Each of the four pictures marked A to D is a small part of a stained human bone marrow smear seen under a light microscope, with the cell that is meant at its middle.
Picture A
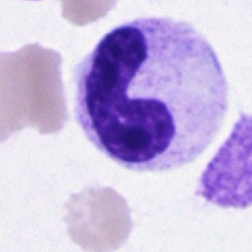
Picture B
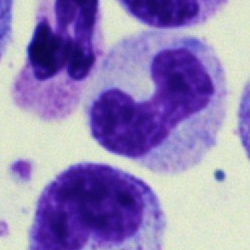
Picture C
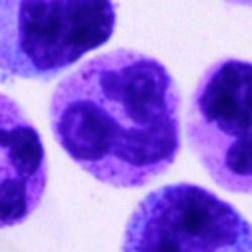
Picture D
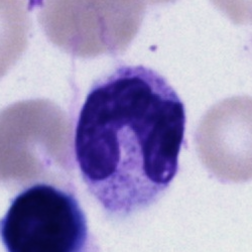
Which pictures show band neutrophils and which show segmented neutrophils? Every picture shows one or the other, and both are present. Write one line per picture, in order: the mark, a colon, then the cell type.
A: band neutrophil
B: band neutrophil
C: segmented neutrophil
D: band neutrophil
